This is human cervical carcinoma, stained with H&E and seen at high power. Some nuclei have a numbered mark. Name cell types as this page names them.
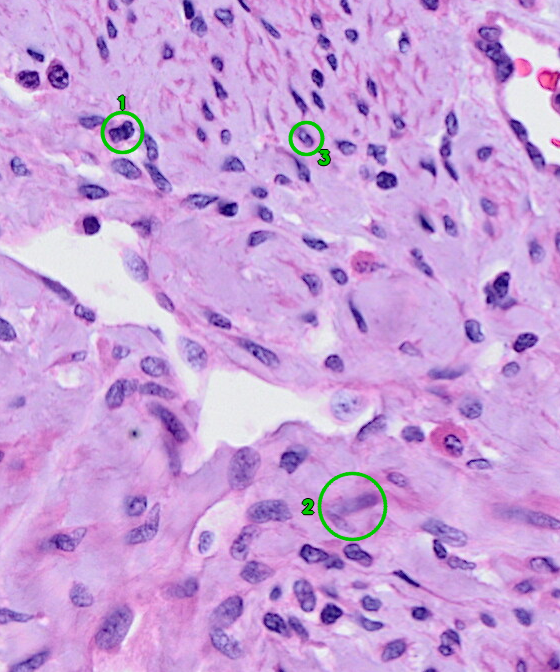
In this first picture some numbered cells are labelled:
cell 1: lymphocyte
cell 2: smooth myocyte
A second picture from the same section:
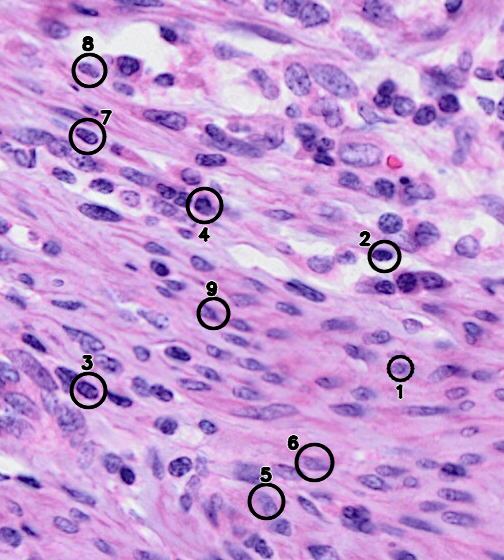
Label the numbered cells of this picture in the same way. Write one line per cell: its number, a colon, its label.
1: smooth myocyte
2: lymphocyte
3: lymphocyte
4: lymphocyte
5: smooth myocyte
6: smooth myocyte
7: lymphocyte
8: lymphocyte
9: smooth myocyte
